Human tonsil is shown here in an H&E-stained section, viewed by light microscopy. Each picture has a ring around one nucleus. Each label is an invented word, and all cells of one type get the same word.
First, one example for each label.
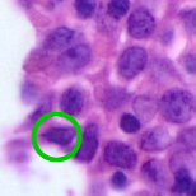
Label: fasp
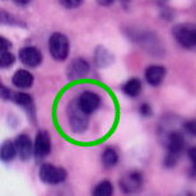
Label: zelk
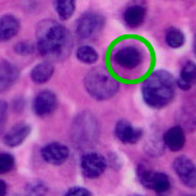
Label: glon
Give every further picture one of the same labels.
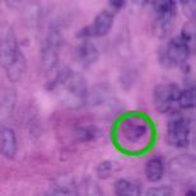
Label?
zelk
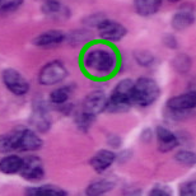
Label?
glon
